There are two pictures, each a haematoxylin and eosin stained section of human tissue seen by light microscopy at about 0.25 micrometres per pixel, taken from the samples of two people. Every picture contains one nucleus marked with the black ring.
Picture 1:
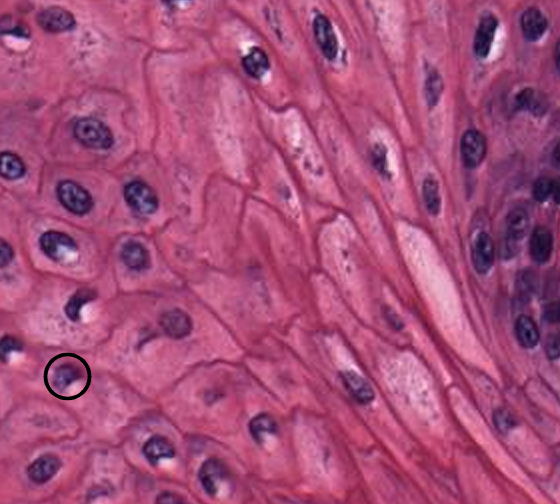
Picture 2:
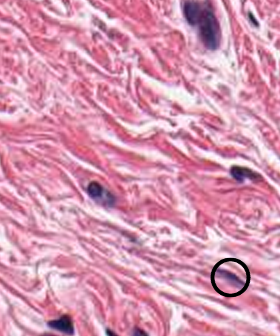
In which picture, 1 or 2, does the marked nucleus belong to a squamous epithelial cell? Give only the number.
1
